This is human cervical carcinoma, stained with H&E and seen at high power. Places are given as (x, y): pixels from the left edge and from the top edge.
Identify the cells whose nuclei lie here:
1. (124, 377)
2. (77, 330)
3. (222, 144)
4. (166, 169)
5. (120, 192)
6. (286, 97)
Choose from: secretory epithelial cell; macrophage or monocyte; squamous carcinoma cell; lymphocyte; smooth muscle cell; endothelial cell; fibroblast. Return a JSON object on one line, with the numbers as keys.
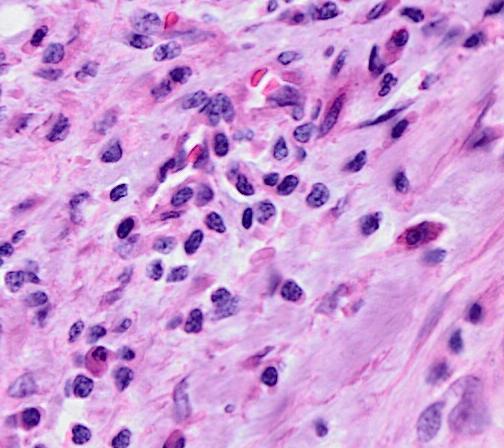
{"1": "lymphocyte", "2": "lymphocyte", "3": "lymphocyte", "4": "endothelial cell", "5": "lymphocyte", "6": "endothelial cell"}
